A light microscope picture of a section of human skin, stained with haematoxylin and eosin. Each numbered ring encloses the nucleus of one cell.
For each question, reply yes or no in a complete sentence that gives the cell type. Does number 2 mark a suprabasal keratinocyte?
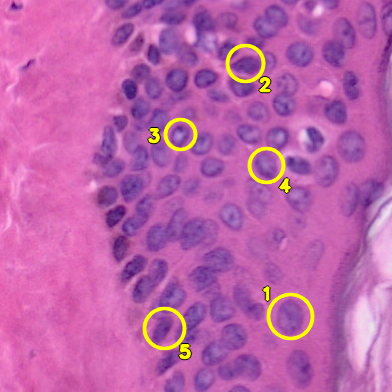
No, the cell denoted 2 is a basal keratinocyte rather than a suprabasal keratinocyte.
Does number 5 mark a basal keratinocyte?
Yes, and to answer plainly, cell 5 is a basal keratinocyte.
